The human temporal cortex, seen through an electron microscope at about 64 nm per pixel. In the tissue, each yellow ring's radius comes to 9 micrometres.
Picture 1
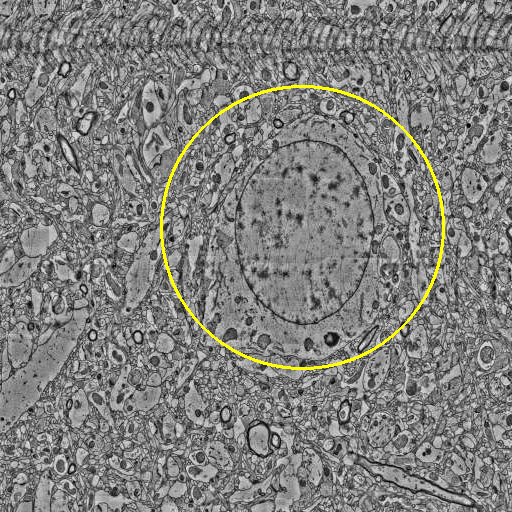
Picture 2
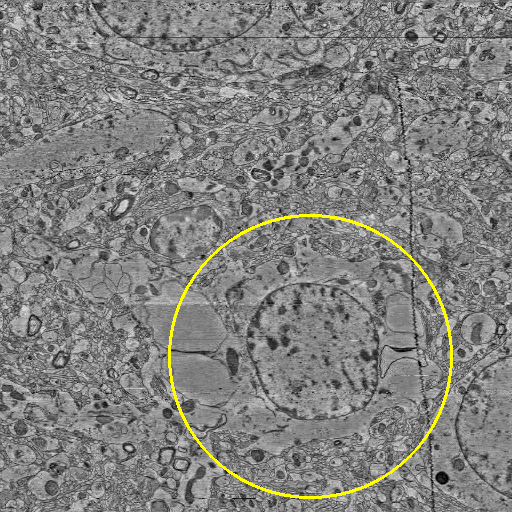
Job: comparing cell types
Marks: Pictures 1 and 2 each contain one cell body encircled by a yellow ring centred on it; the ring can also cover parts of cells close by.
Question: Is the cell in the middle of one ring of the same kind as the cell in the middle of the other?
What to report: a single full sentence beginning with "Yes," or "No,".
No, the cell at the ring centre in Picture 1 and its partner in Picture 2 are of two kinds.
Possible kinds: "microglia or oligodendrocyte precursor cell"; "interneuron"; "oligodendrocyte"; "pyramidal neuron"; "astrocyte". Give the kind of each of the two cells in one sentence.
The cell in the second picture is an astrocyte, and that in the first is a pyramidal neuron.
